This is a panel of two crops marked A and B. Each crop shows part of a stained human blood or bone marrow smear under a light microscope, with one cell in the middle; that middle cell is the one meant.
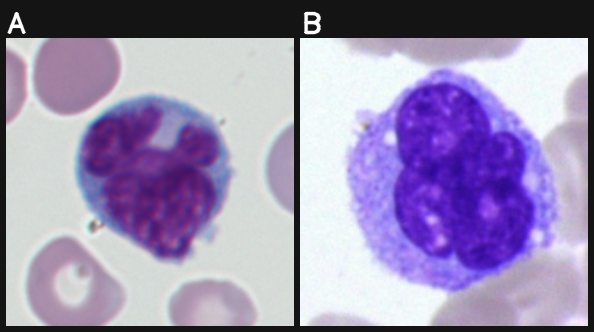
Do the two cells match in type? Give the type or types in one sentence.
Yes, both crops show monocytes in the centre of the field.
